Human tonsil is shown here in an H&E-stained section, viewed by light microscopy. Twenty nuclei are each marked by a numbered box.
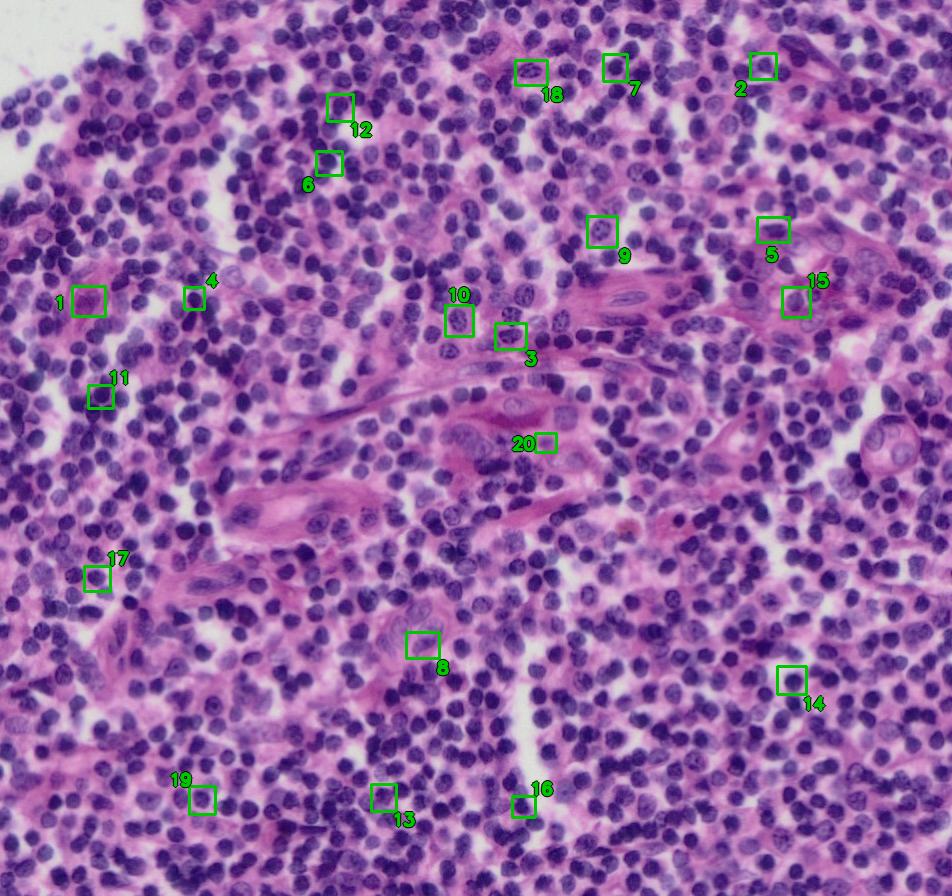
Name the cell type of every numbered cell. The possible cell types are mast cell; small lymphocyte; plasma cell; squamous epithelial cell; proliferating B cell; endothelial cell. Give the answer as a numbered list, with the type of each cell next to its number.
1. endothelial cell
2. small lymphocyte
3. plasma cell
4. small lymphocyte
5. endothelial cell
6. small lymphocyte
7. small lymphocyte
8. endothelial cell
9. plasma cell
10. plasma cell
11. small lymphocyte
12. small lymphocyte
13. small lymphocyte
14. small lymphocyte
15. endothelial cell
16. small lymphocyte
17. small lymphocyte
18. plasma cell
19. small lymphocyte
20. endothelial cell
